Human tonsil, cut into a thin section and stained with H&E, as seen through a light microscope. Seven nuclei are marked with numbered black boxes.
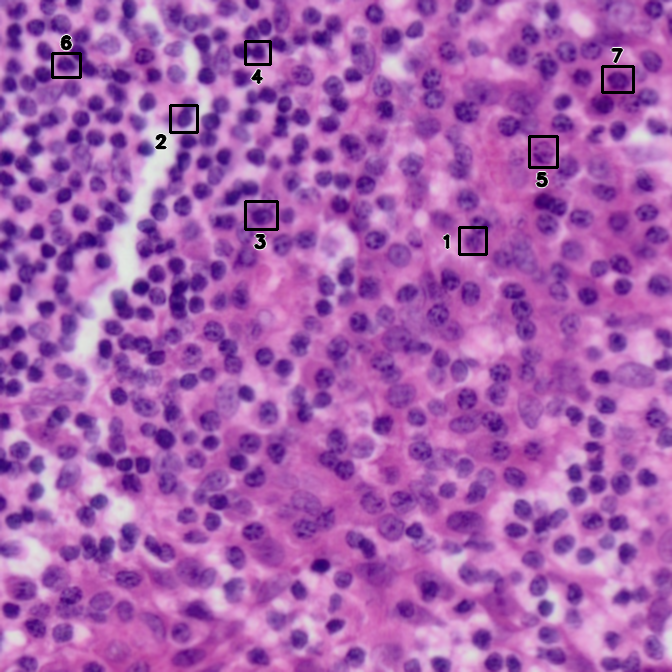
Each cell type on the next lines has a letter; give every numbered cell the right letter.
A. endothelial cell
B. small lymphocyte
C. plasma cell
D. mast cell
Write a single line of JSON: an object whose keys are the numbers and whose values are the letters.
{"1": "C", "2": "B", "3": "C", "4": "B", "5": "C", "6": "B", "7": "C"}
